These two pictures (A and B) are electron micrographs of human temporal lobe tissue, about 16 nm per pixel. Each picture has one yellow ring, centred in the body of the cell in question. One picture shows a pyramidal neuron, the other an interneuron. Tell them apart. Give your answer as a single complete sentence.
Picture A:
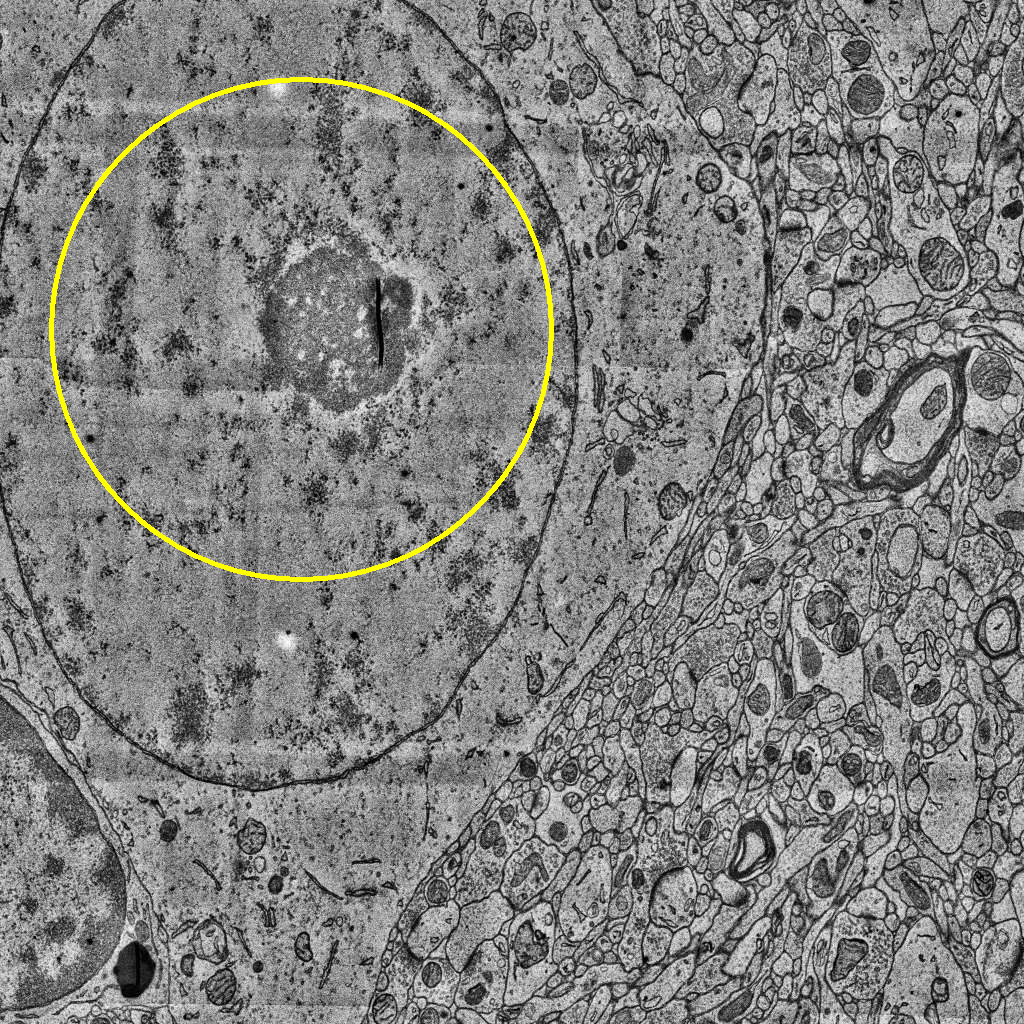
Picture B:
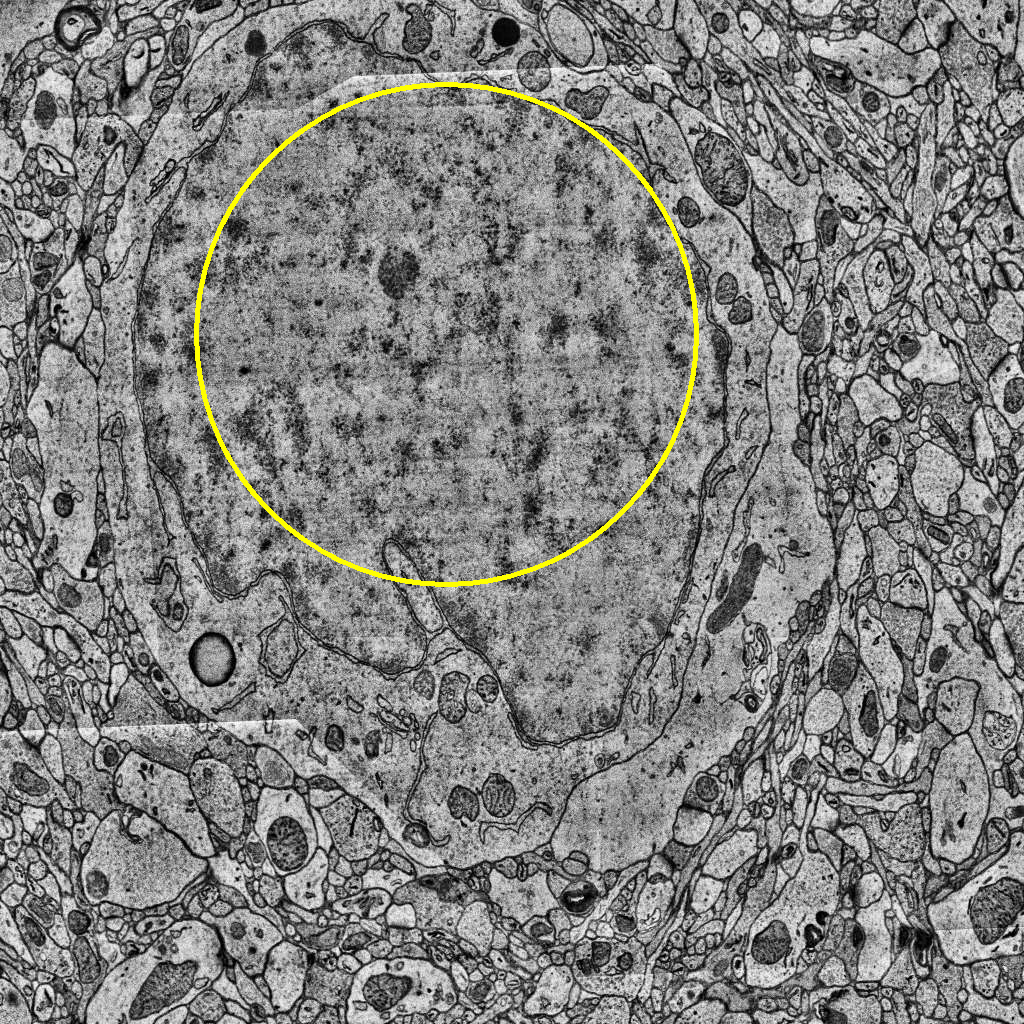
Picture A is of a pyramidal neuron, and picture B is of an interneuron.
